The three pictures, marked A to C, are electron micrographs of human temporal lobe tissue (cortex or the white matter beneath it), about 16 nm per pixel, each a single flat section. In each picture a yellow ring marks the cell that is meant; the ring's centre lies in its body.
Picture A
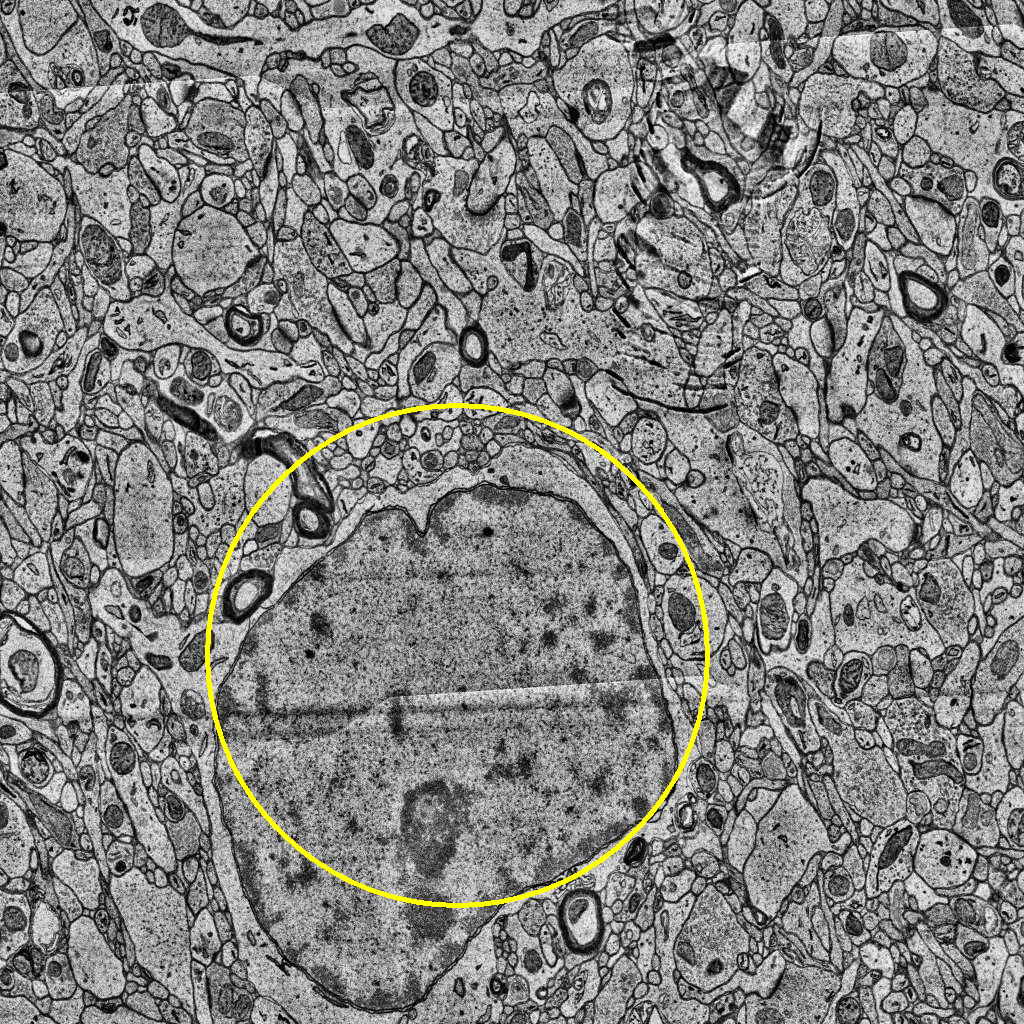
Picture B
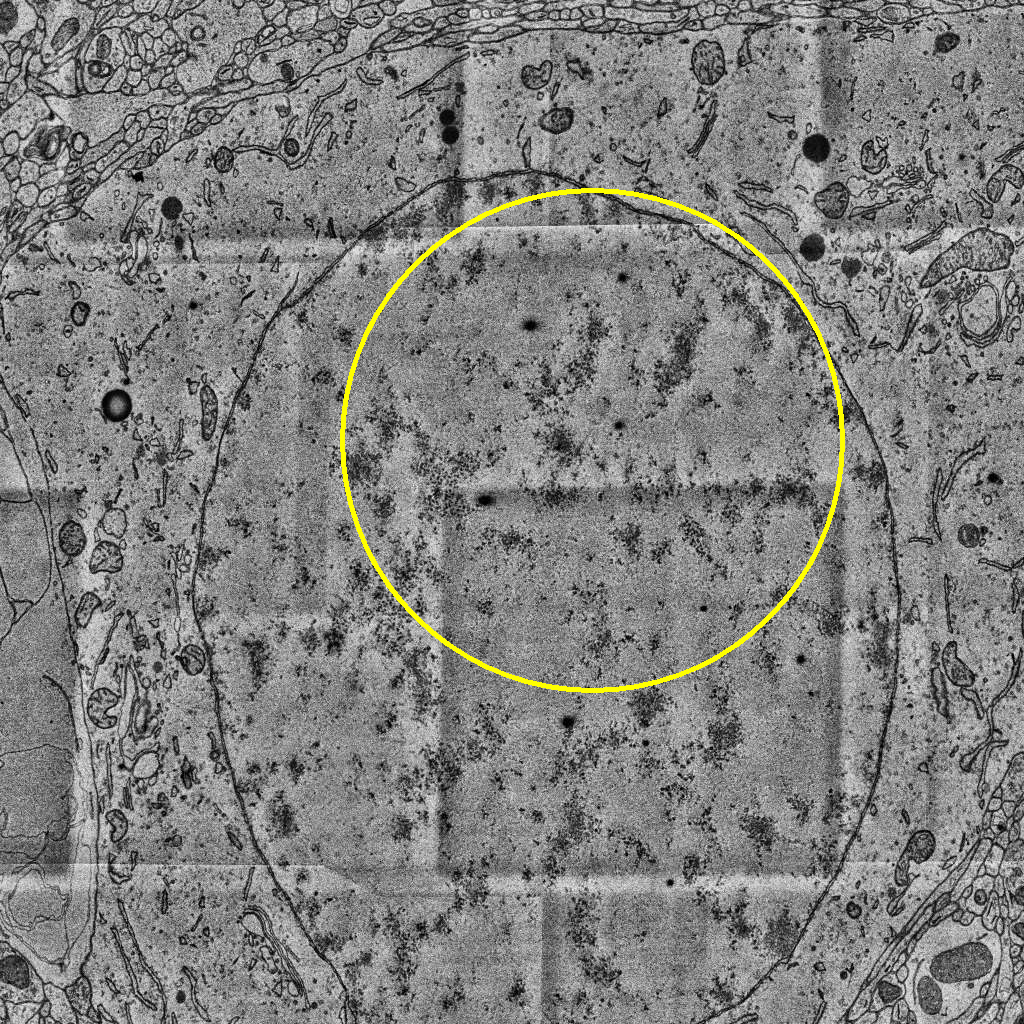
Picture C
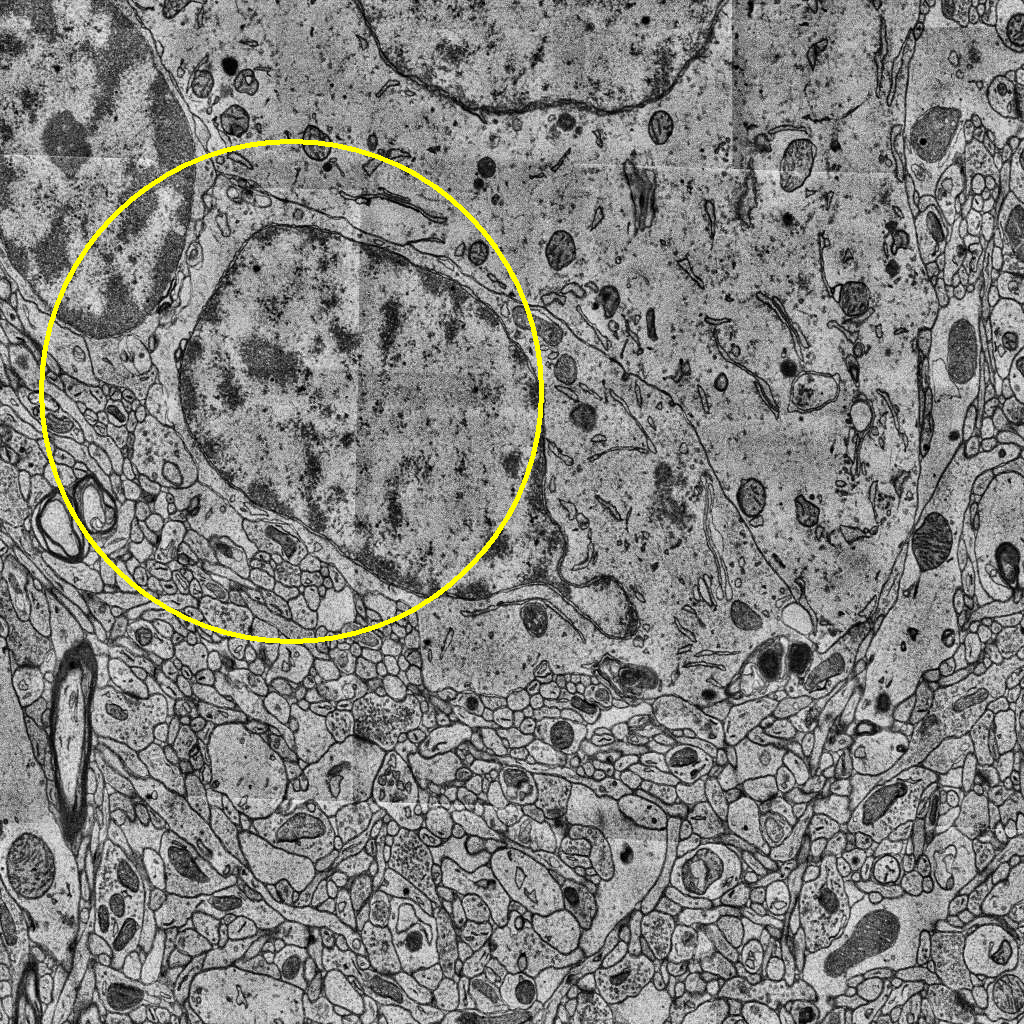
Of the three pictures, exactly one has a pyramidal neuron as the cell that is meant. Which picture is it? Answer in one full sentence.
The pyramidal neuron is the one in picture B.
